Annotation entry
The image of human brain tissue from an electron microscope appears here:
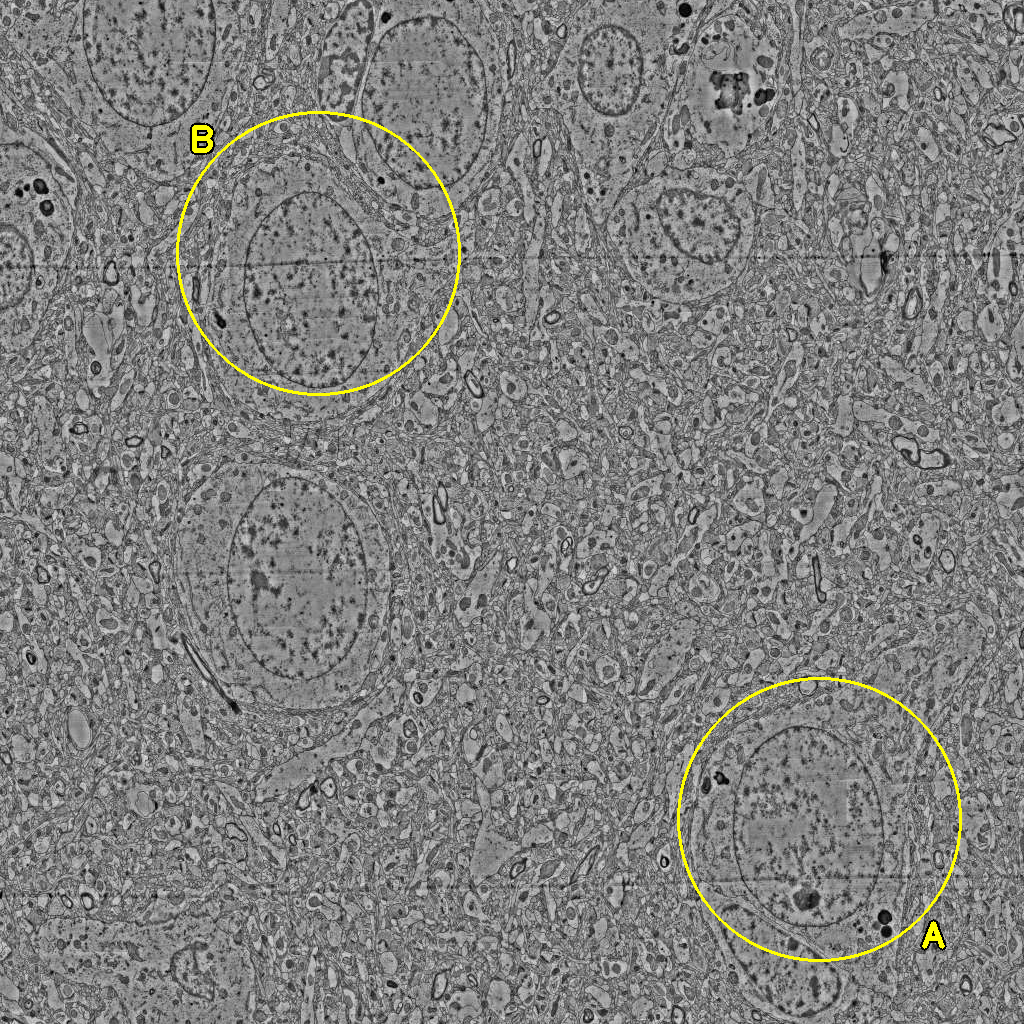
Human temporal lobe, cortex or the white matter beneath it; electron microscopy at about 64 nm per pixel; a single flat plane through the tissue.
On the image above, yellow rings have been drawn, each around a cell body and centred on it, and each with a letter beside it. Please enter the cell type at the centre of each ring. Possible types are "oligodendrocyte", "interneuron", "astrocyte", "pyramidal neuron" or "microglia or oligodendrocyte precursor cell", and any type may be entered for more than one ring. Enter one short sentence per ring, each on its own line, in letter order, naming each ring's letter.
The cell that ring A is centred on is a pyramidal neuron.
The cell that ring B is centred on is a pyramidal neuron.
